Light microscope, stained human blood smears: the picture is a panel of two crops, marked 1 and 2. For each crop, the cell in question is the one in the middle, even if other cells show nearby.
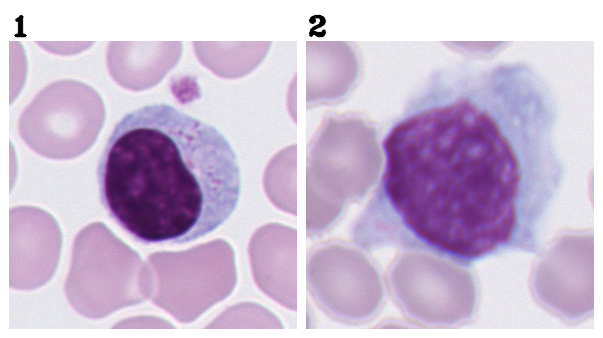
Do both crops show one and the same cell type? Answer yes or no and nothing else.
no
